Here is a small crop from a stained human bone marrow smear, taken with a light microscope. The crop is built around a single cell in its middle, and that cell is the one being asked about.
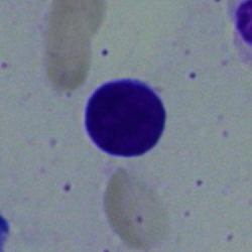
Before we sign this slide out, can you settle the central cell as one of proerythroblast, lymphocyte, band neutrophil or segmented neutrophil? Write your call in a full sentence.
The cell sitting right in the middle is a lymphocyte.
